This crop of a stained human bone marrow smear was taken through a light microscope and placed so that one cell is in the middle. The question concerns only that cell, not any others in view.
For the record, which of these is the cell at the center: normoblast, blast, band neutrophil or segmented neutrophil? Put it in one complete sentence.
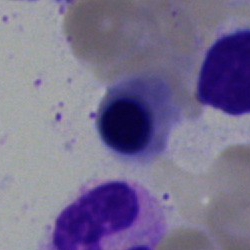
The middle position in this crop is taken by a normoblast.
